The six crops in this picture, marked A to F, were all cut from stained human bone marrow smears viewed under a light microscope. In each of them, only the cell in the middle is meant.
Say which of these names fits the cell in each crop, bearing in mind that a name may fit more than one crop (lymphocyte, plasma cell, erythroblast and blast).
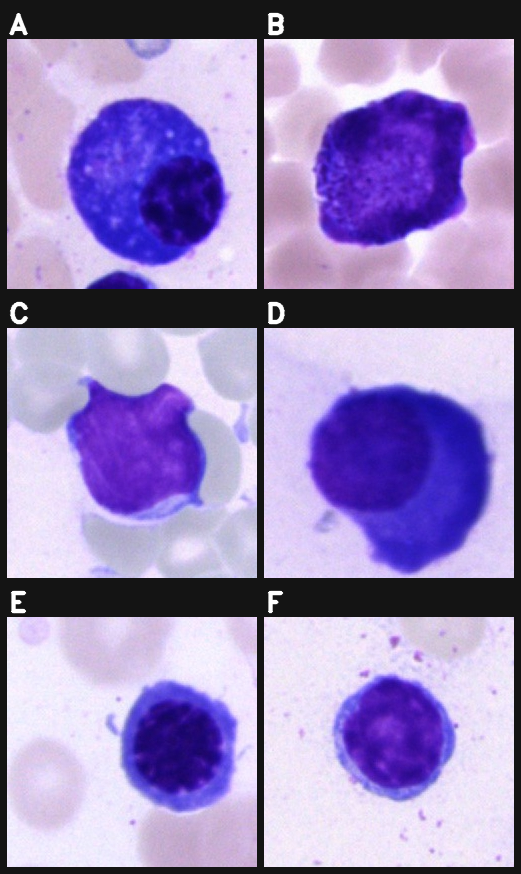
A: plasma cell
B: blast
C: blast
D: plasma cell
E: erythroblast
F: lymphocyte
